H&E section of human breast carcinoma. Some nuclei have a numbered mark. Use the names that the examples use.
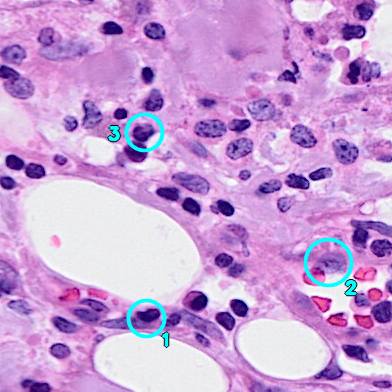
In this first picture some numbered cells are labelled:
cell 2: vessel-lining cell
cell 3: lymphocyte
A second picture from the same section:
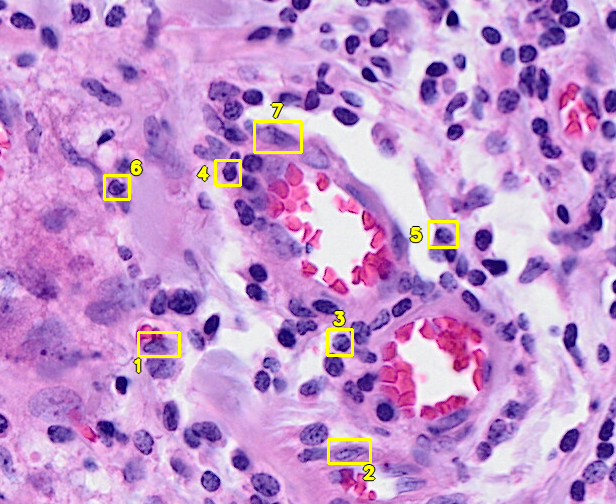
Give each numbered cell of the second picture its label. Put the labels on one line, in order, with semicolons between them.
vessel-lining cell; vessel-lining cell; lymphocyte; lymphocyte; lymphocyte; lymphocyte; vessel-lining cell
